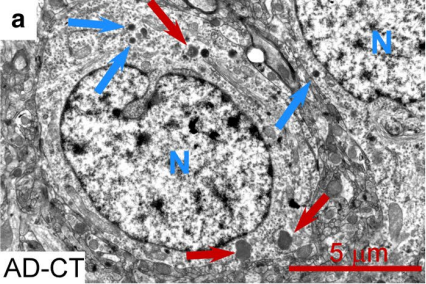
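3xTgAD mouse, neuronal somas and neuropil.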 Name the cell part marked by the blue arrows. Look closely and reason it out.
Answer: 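Small round very electron-dense bodies lie in the cytoplasm around the nucleus. They are smaller than the grey round bodies nearby.
Answer: dense lysosomal bodies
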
